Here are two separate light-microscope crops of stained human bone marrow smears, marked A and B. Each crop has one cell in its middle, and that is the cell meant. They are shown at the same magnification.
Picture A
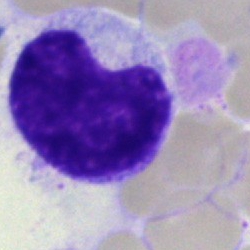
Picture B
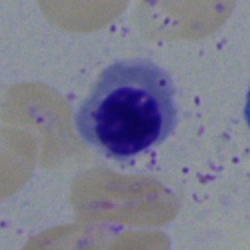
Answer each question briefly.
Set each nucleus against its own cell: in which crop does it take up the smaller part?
B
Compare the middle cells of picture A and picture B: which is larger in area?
A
